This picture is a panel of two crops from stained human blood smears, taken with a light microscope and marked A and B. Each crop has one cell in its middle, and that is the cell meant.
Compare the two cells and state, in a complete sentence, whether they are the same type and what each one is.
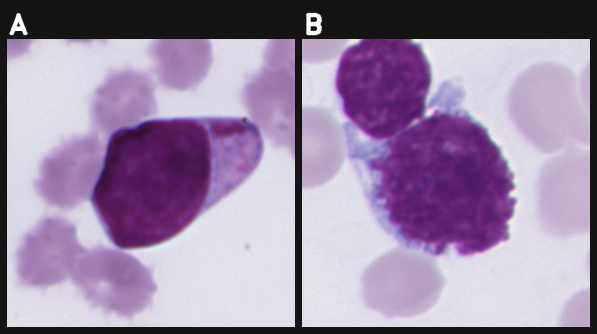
Yes, as shown in both crops, the central cells are myeloblasts.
